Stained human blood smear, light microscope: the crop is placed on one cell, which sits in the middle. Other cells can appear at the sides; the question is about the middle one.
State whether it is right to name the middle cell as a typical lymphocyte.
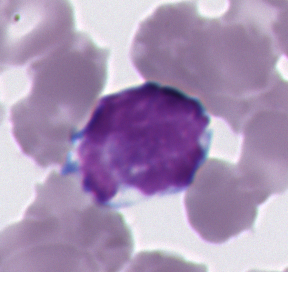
yes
